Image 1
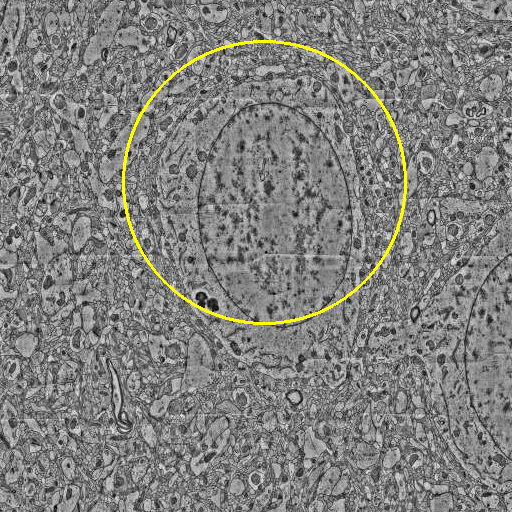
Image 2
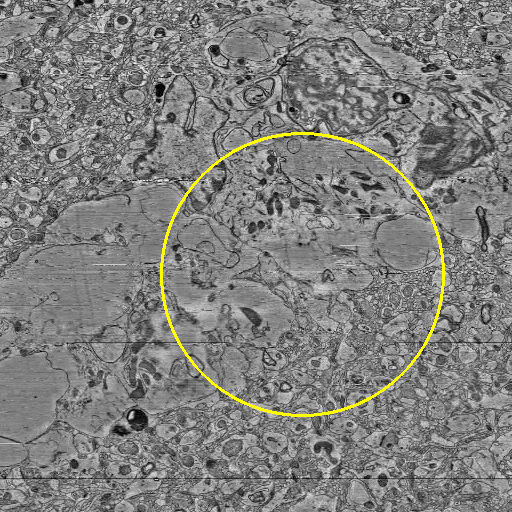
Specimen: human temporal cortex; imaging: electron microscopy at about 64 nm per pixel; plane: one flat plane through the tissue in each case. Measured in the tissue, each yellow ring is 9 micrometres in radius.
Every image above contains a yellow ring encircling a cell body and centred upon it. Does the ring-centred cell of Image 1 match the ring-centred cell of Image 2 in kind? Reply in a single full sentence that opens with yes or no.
No, the cell at the ring's centre in Image 1 is a separate kind from that in Image 2.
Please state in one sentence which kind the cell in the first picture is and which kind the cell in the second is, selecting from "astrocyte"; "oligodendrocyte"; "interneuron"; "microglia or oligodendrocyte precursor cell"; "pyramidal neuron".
The first ringed cell is a pyramidal neuron, the second ringed cell a microglial cell or oligodendrocyte precursor cell.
